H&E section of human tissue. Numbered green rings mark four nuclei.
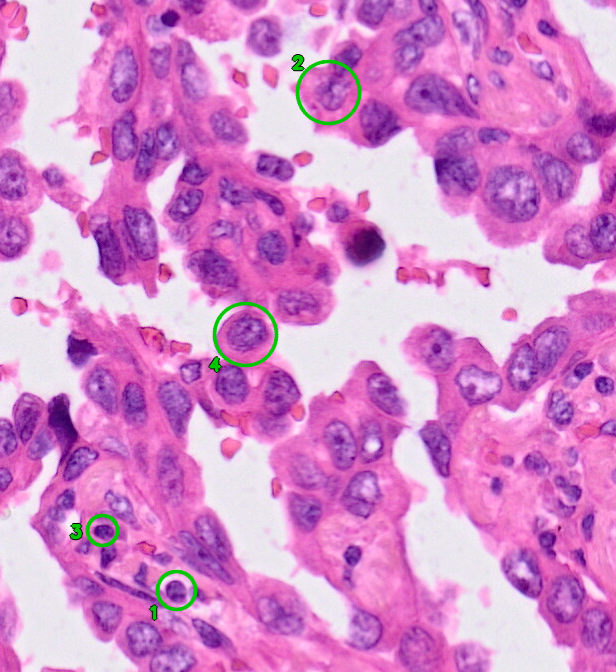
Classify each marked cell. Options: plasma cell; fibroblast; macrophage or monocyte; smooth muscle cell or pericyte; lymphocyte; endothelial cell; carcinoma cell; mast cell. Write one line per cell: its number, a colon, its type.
1: lymphocyte
2: carcinoma cell
3: lymphocyte
4: carcinoma cell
